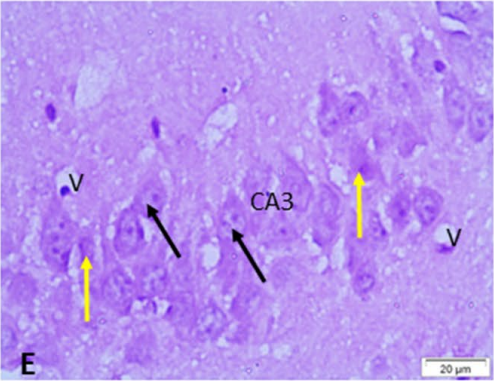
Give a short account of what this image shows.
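This is the pyramidal cell layer of the hippocampus at high power, a row of large neurons set in a pale, finely granular neuropil. Several neurons have big round pale nuclei with a clear dark nucleolus, giving them a prominent look. Scattered among them are smaller, shrunken cells that stain more darkly and have lost that open nucleus, the look of cells dying by apoptosis. Small clear vacuoles are seen in the surrounding neuropil.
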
